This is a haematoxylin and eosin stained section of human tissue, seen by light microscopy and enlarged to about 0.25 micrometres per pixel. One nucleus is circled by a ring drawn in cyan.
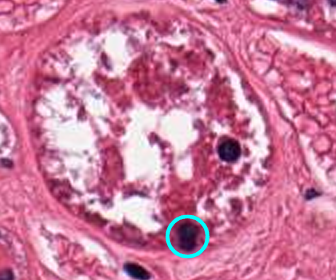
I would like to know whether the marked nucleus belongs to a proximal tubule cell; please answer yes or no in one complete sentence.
Yes, the marked nucleus is located in a proximal tubule cell.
